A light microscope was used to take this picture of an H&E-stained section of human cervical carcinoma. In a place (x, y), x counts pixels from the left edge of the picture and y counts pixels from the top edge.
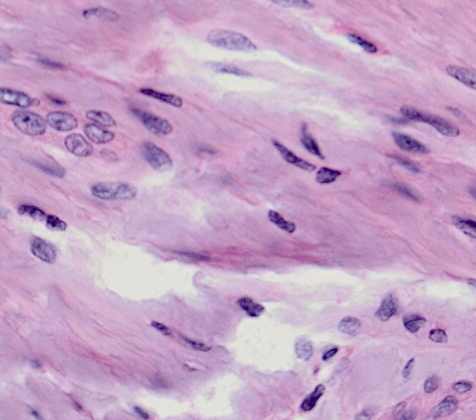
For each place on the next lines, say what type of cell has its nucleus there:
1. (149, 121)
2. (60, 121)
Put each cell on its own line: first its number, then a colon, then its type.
1: fibroblast
2: endothelial cell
